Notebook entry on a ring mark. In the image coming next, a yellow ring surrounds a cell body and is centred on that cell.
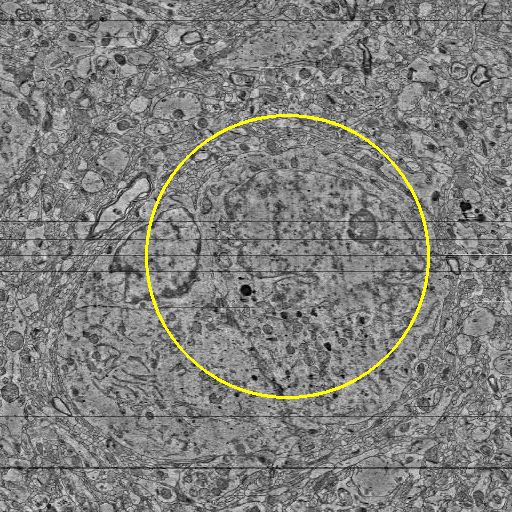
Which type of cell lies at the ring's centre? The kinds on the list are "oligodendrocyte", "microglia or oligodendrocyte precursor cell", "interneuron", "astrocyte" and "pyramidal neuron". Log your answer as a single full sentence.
Centred in the yellow ring is an interneuron, the cell recorded for this image.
